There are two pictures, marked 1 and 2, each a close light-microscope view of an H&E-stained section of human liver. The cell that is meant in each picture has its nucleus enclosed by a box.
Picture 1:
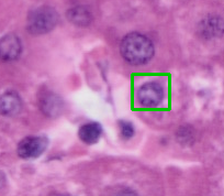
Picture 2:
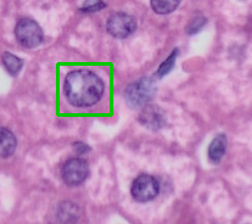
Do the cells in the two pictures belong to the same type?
yes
